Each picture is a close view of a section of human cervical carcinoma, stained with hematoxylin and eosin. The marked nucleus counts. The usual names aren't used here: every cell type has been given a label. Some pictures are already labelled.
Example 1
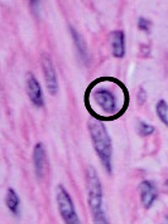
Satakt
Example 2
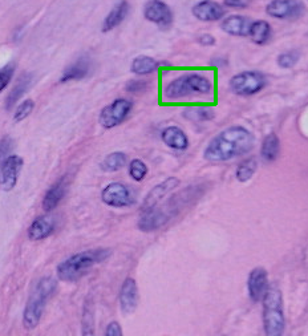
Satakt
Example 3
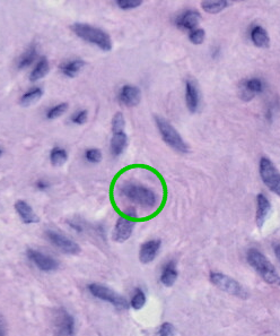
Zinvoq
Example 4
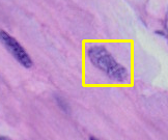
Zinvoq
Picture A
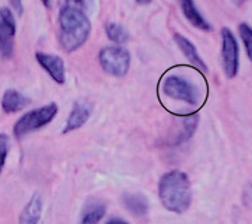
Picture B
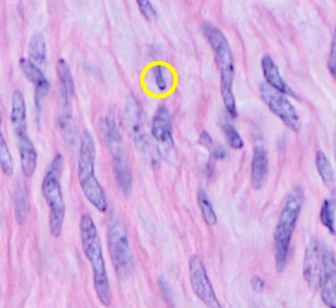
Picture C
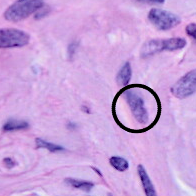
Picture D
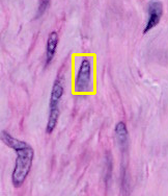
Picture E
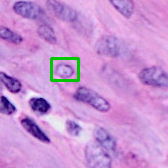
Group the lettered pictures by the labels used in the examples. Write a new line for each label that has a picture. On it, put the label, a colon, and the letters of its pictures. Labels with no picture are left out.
Satakt: B, D, E
Zinvoq: A, C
